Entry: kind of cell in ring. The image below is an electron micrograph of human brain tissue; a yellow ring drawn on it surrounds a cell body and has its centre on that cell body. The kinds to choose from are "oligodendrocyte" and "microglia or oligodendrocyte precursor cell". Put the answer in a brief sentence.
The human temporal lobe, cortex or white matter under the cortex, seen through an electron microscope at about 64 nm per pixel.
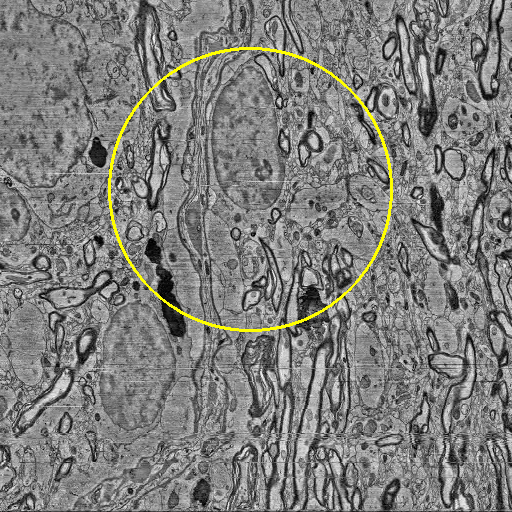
The ring has been drawn around an oligodendrocyte.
